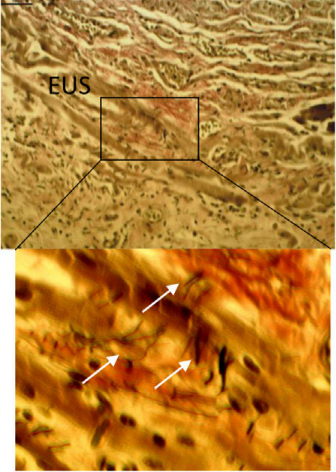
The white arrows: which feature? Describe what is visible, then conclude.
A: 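The arrows point to thin, dark, wavy threads in the enlarged lower image. The dark threads run in differing directions rather than in one line.
Answer: disorganized elastin fibers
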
